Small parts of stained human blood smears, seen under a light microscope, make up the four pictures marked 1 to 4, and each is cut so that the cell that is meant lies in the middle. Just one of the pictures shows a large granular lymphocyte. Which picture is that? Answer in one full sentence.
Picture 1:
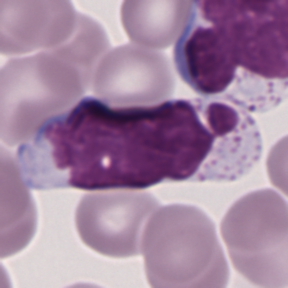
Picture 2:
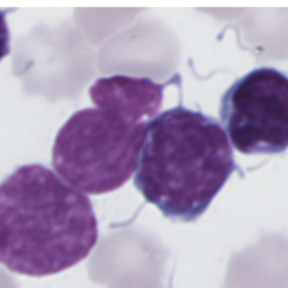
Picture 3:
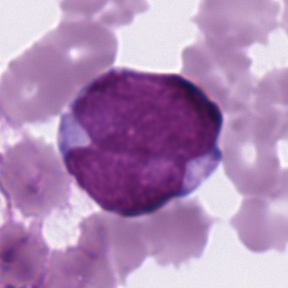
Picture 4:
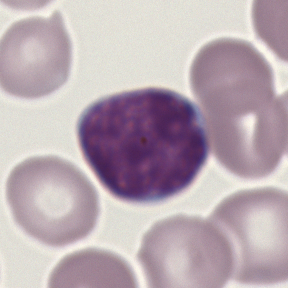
The cell in picture 1 is the large granular lymphocyte.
